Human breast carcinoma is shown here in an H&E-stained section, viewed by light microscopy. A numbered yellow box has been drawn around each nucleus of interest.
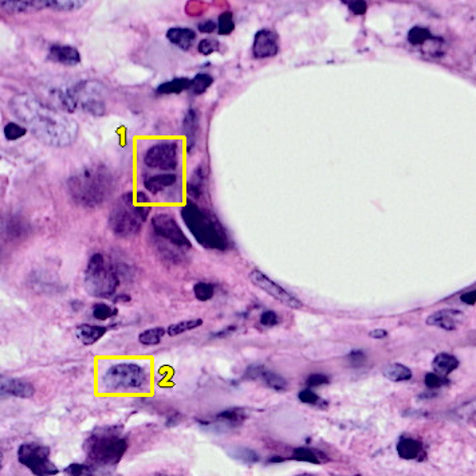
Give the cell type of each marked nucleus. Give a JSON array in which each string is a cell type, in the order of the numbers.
["carcinoma cell", "macrophage, monocyte or dendritic cell"]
